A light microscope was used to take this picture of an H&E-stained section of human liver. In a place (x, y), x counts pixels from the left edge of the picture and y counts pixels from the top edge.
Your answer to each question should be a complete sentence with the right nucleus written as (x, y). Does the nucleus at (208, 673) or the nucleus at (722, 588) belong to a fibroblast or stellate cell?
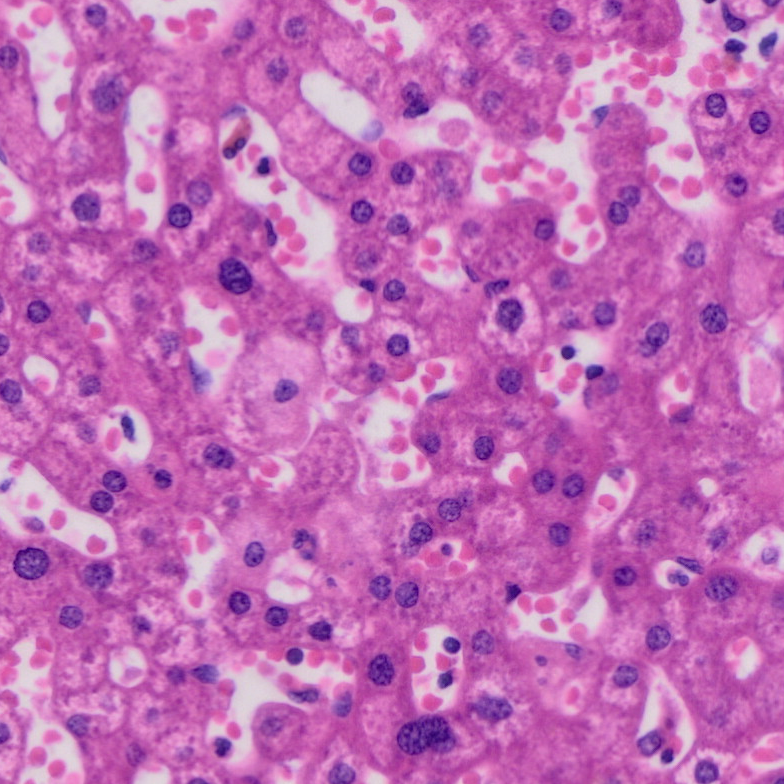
The nucleus belonging to a fibroblast or stellate cell is the one at (208, 673).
